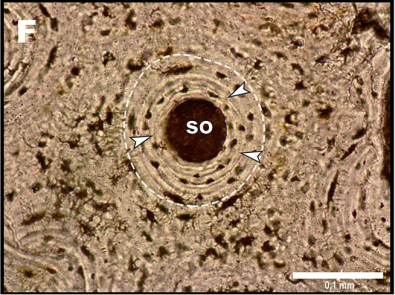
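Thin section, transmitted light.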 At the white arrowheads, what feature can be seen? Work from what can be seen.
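The arrowheads point at concentric rings around a dark-filled central canal. The rings lie within a circular lamellar system set in the surrounding bone.
Hence: resorption lines.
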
